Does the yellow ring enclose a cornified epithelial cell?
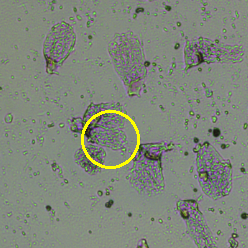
Yes. The ring encloses a cornified epithelial cell.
